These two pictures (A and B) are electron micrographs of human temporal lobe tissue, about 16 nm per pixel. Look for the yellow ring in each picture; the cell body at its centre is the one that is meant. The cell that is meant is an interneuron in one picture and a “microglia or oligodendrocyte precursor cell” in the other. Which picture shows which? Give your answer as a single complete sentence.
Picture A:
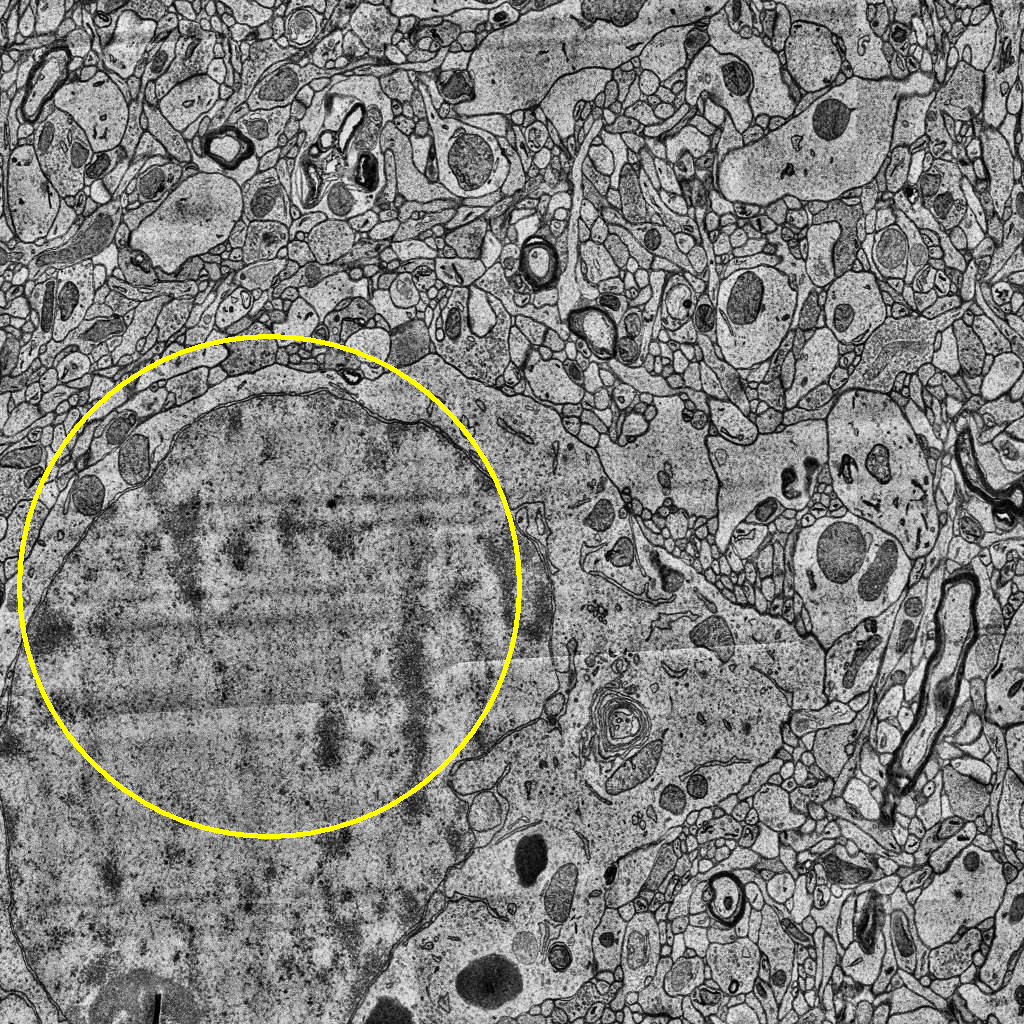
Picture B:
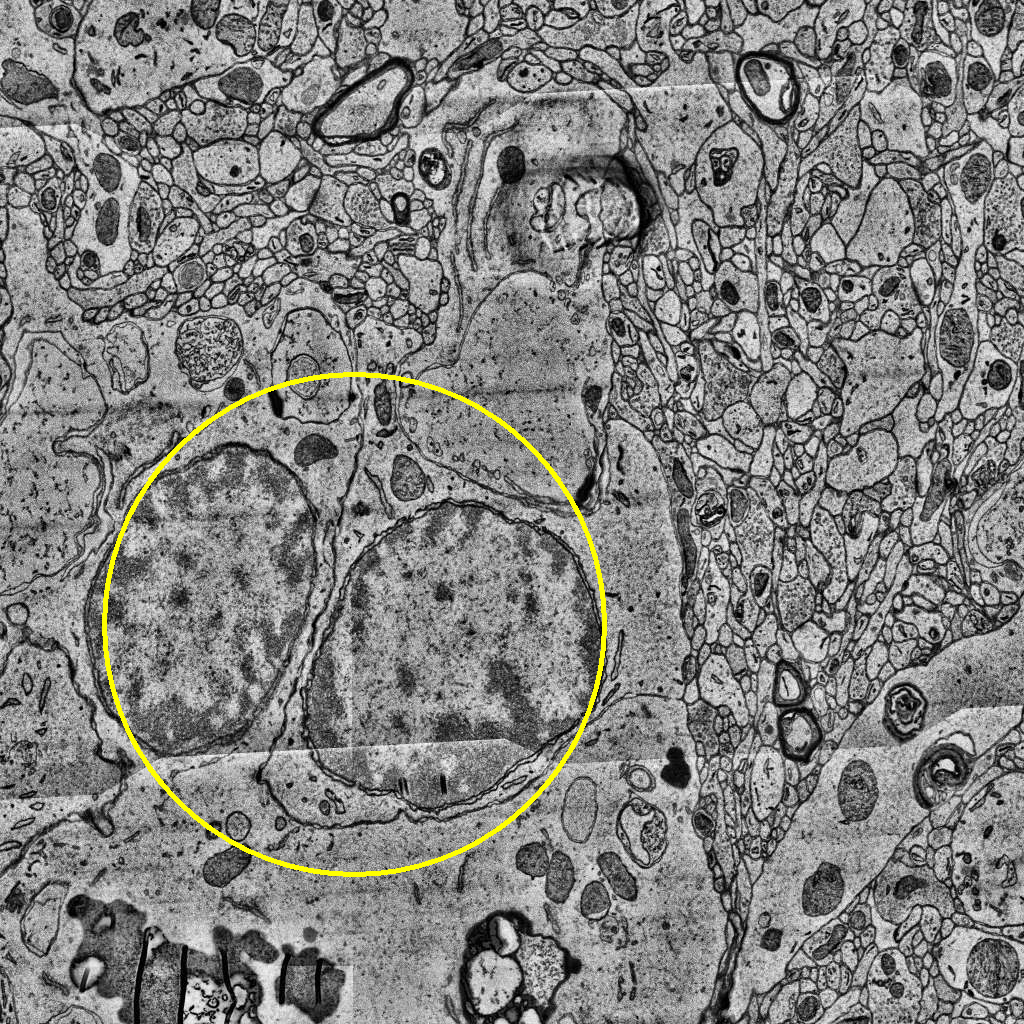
Picture A shows an interneuron and picture B shows a “microglia or oligodendrocyte precursor cell”.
